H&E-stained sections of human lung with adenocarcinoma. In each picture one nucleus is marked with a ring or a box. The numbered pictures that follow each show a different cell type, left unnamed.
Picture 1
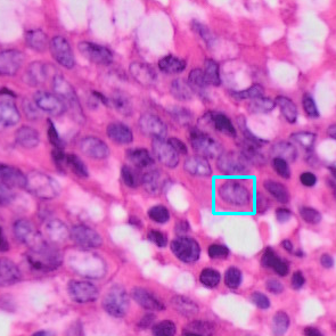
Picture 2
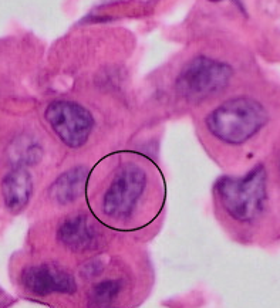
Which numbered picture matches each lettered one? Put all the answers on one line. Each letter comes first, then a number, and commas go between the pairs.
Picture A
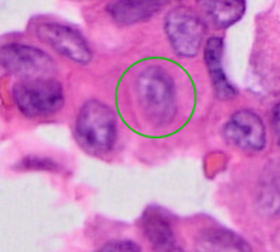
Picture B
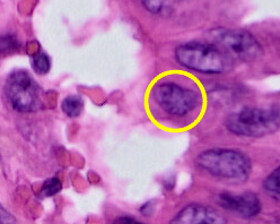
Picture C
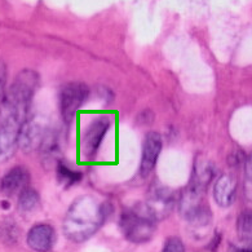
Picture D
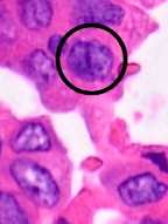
A 2, B 2, C 1, D 2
